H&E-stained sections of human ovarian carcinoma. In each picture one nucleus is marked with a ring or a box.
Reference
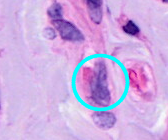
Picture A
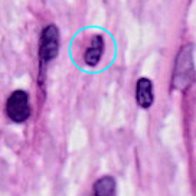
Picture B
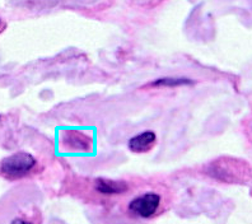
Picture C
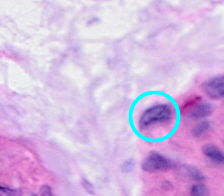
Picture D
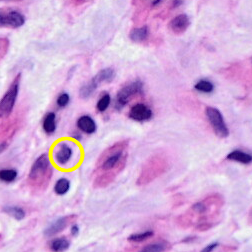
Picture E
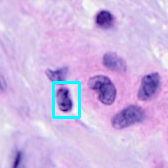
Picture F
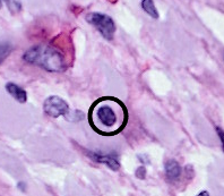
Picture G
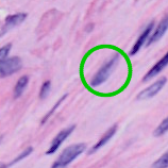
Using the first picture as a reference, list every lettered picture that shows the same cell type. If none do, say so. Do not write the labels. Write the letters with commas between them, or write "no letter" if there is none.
C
